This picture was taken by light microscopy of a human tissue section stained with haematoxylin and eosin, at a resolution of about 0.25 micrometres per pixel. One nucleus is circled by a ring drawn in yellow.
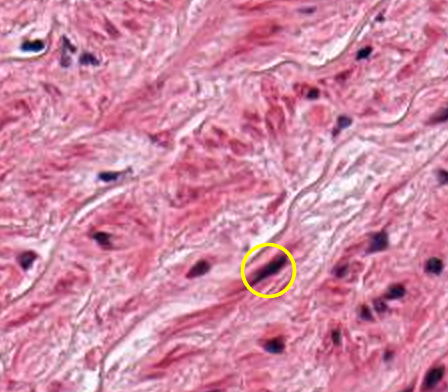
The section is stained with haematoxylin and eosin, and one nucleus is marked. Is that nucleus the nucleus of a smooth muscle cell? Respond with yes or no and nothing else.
yes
